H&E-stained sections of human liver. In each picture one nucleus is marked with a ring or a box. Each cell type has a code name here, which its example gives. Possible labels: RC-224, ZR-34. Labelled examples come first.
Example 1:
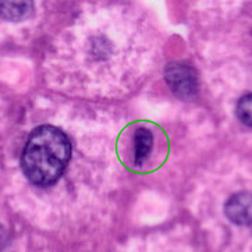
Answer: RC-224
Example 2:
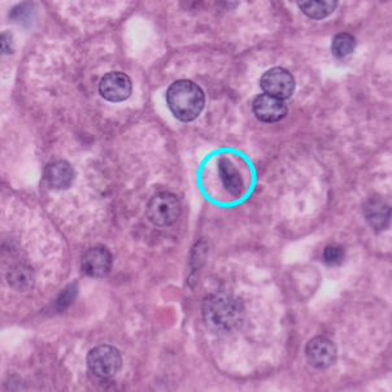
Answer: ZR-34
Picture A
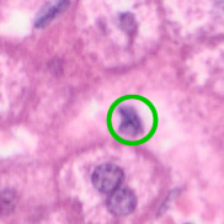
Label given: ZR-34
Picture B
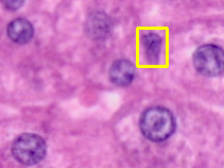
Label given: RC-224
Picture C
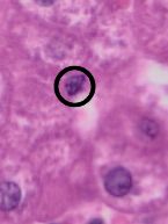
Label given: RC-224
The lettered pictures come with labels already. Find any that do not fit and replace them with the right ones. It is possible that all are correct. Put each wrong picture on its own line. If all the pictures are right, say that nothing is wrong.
All correct.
